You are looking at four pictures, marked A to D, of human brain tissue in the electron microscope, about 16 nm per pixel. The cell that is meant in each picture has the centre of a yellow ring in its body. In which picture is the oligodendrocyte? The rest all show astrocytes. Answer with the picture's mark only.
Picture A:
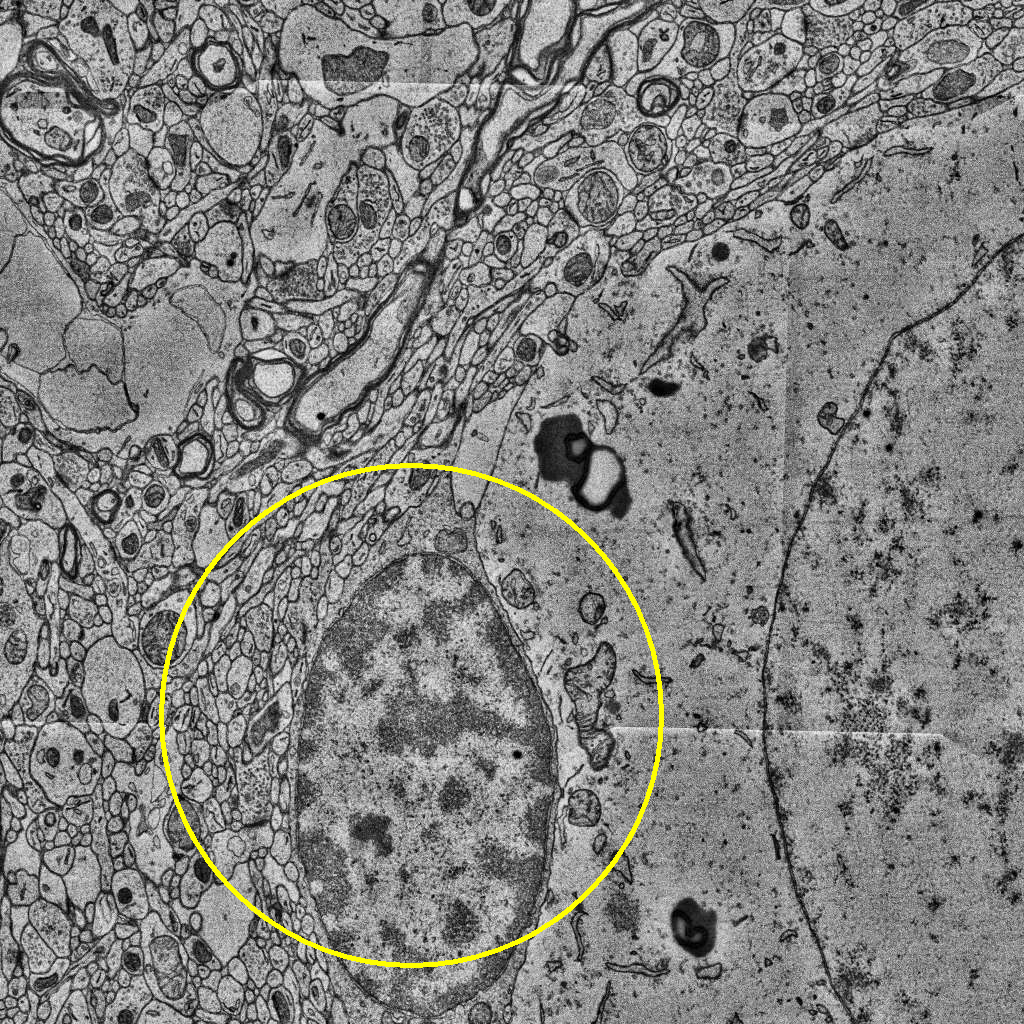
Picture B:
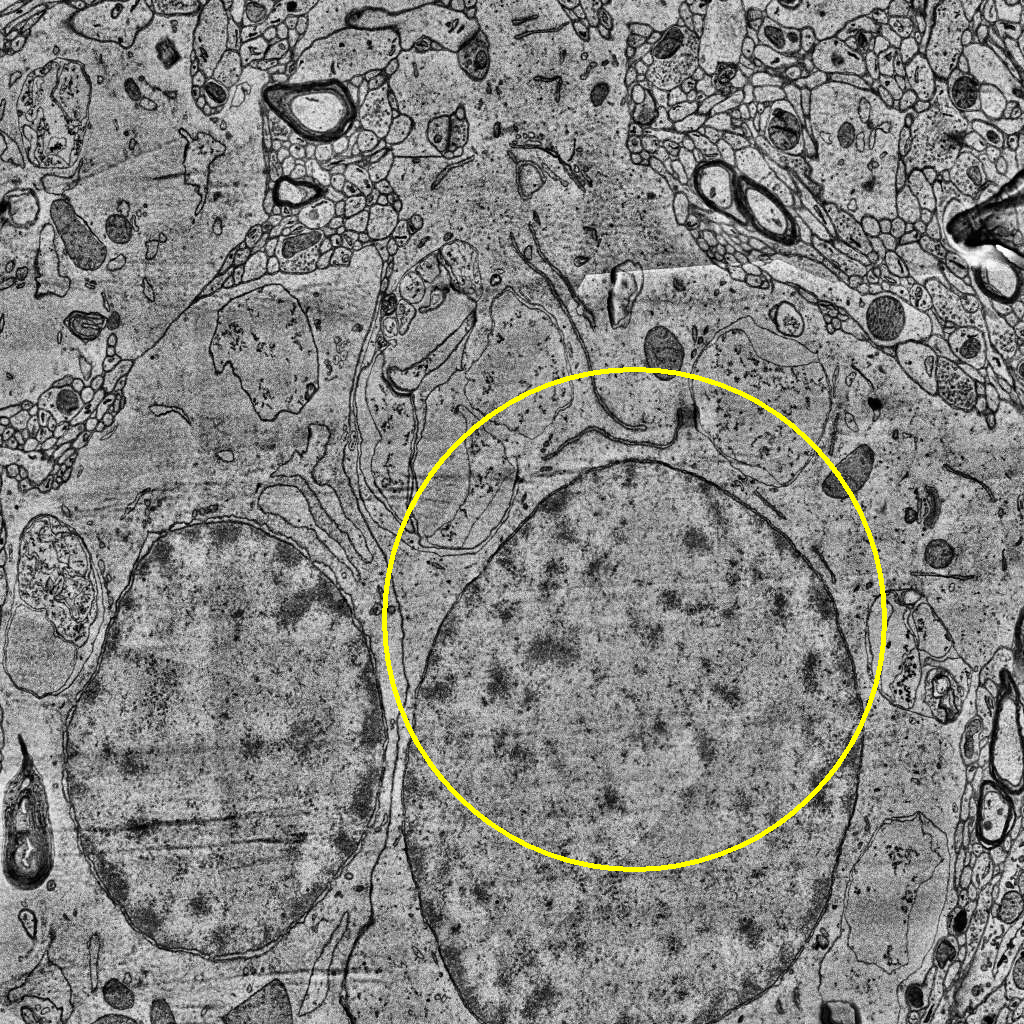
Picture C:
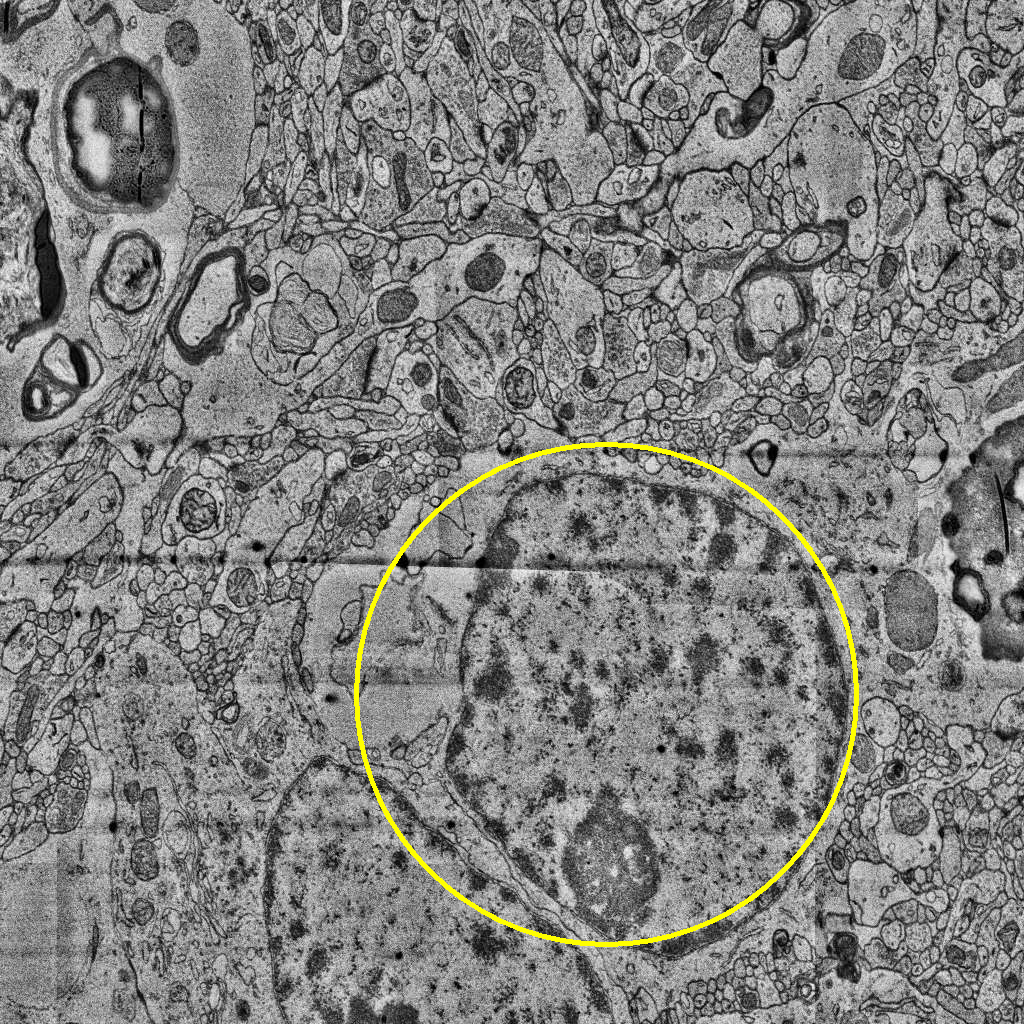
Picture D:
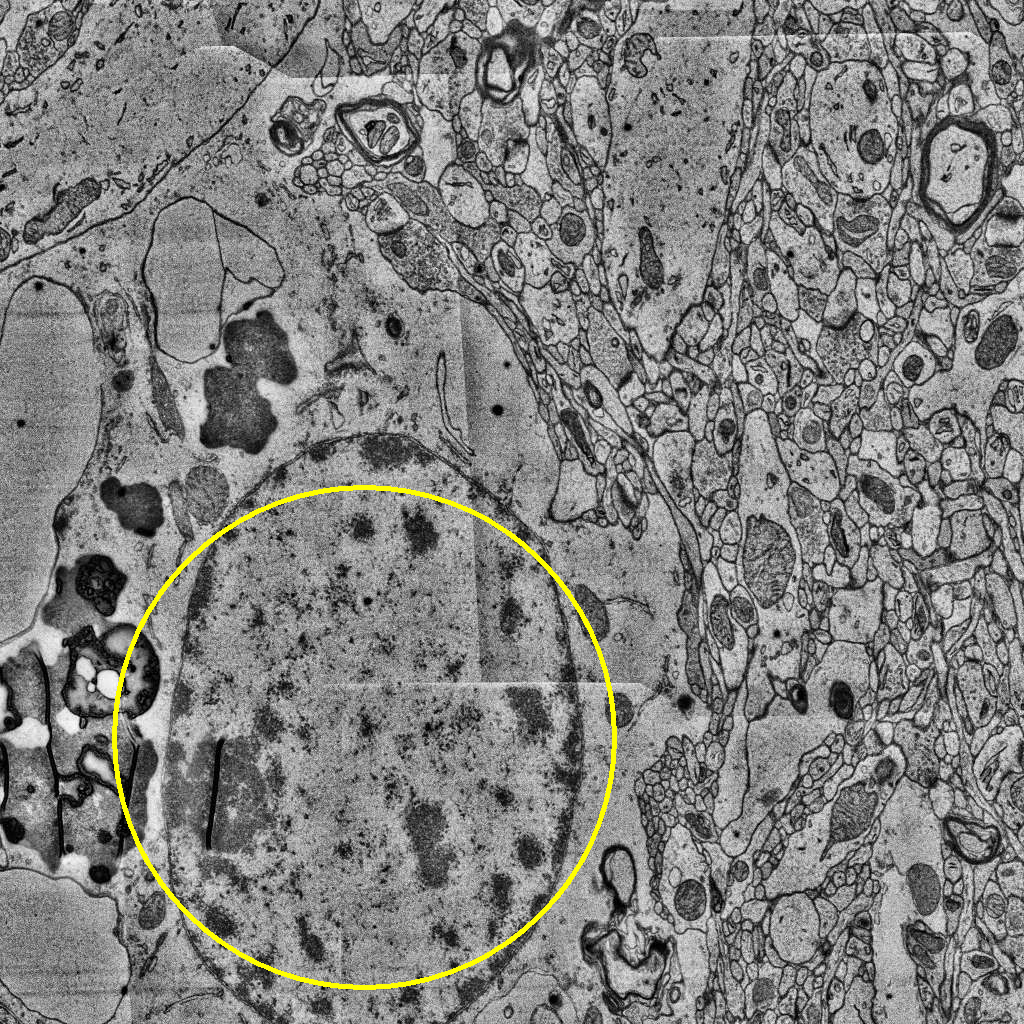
A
